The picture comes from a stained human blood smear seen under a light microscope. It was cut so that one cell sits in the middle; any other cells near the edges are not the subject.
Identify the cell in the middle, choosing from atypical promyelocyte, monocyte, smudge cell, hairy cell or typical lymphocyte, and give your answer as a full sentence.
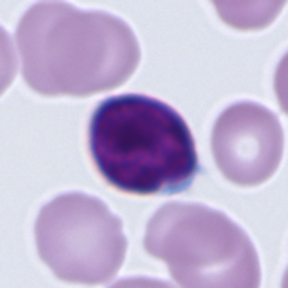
Here the centrally located cell is a typical lymphocyte.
